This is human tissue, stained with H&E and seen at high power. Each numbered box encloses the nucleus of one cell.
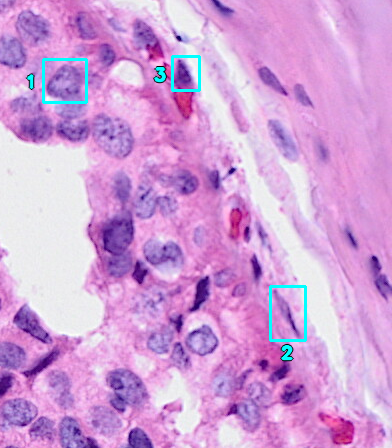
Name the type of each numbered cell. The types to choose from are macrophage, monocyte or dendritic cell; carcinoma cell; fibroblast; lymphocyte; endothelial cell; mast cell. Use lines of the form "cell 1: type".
cell 1: carcinoma cell
cell 2: fibroblast
cell 3: endothelial cell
